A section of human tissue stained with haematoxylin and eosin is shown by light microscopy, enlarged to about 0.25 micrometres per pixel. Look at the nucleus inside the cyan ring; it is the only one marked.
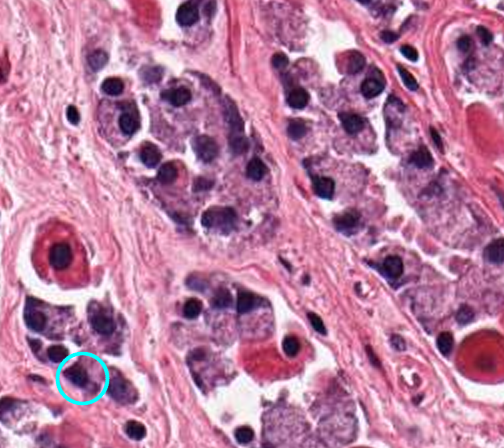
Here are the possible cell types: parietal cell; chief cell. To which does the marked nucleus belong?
chief cell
